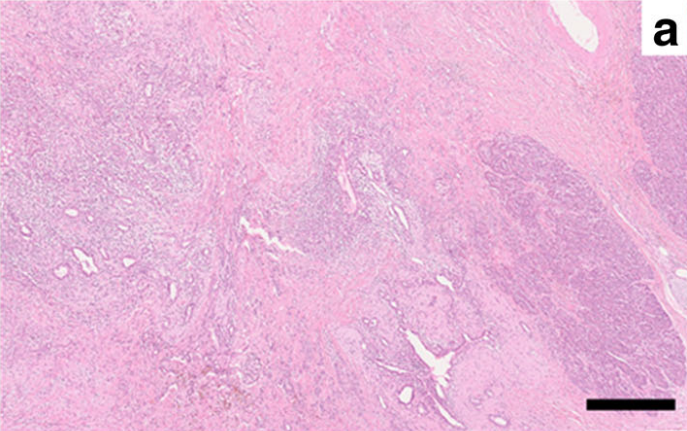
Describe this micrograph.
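At low power, adenocarcinoma invades the pancreatic tissue, forming ductal structures of many shapes and sizes. The irregular glands are set in a pale pink fibrous stroma. To one side a dark purple lobule of preserved glandular pancreatic tissue stands out against the pale tumour area.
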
